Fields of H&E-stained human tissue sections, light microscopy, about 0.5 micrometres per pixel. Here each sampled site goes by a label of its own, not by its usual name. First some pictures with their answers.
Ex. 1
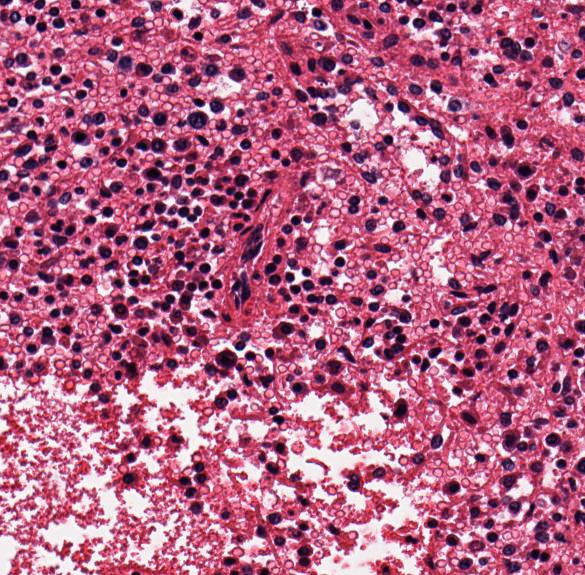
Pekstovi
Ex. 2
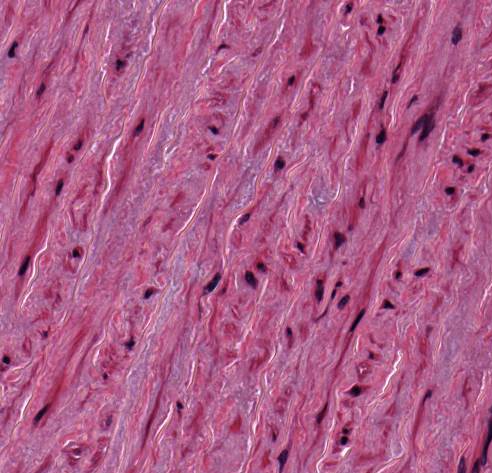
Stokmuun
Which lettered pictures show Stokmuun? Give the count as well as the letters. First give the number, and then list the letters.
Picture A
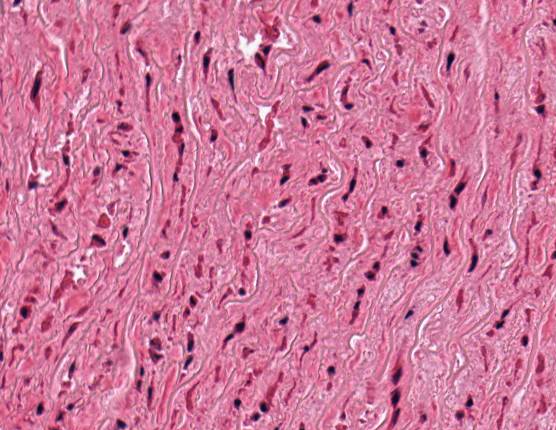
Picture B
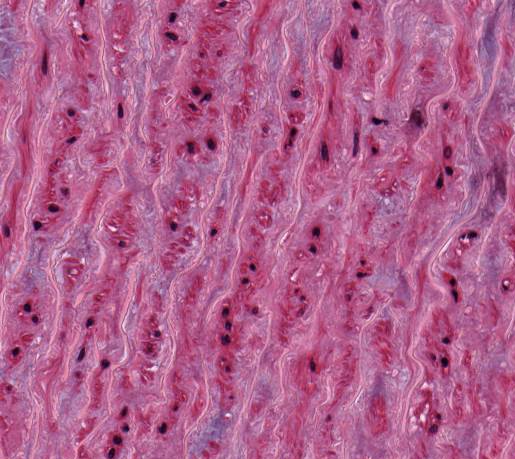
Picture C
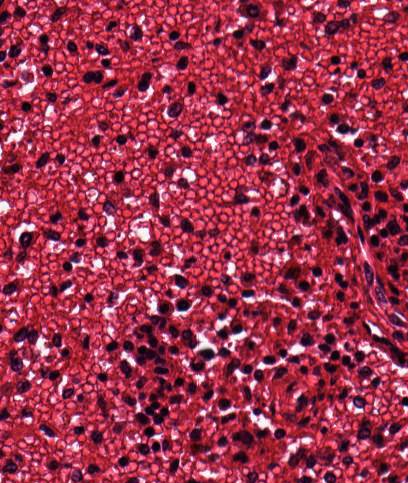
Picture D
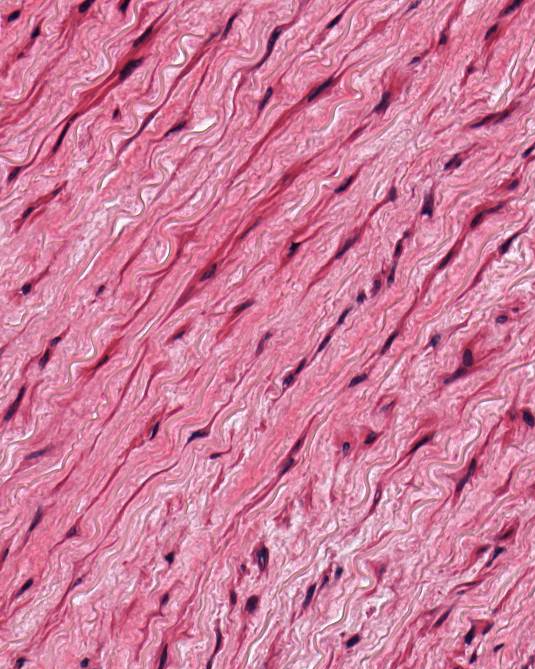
Count: 3 (A, B, D)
